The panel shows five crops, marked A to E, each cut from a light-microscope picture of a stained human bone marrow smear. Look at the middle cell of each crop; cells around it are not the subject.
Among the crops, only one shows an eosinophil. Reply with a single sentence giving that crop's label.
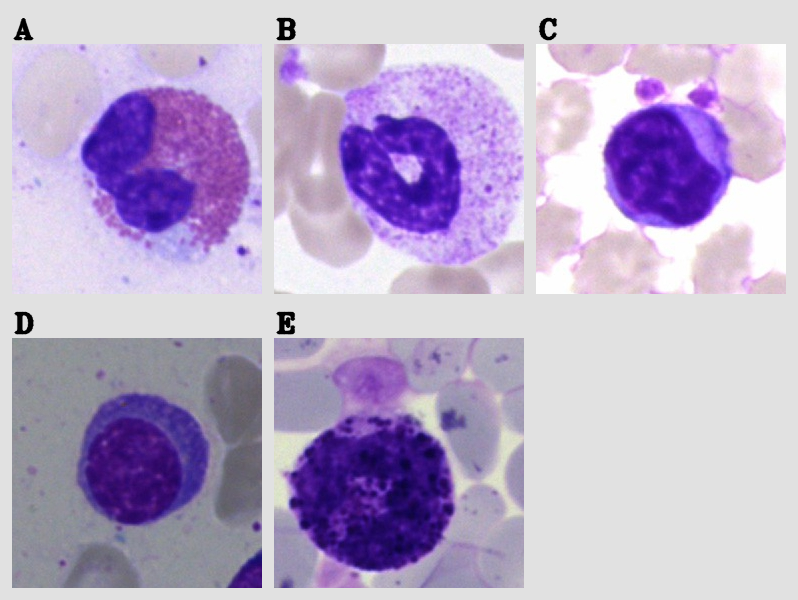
The one that shows an eosinophil is crop A.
